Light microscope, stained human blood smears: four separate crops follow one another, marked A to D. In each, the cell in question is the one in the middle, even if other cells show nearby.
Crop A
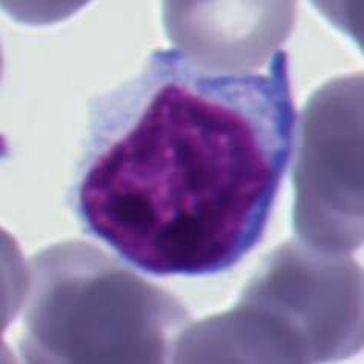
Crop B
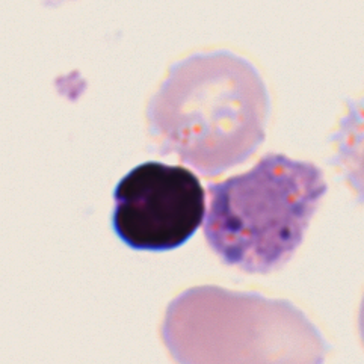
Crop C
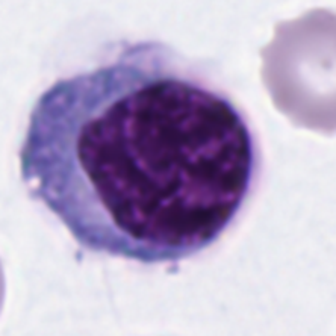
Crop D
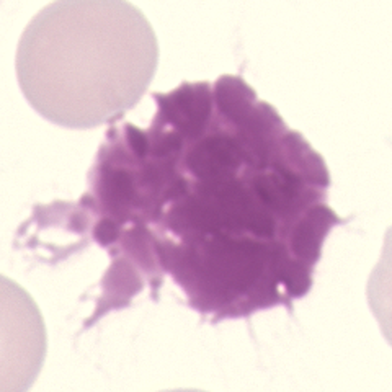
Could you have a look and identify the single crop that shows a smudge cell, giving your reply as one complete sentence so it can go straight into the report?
Of all the crops, crop D is the one showing a smudge cell.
